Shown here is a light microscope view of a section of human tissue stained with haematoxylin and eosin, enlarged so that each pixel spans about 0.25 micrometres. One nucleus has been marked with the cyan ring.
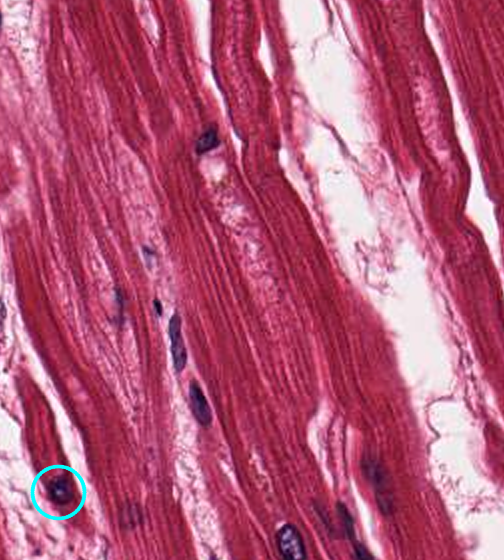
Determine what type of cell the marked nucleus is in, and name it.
cardiomyocyte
